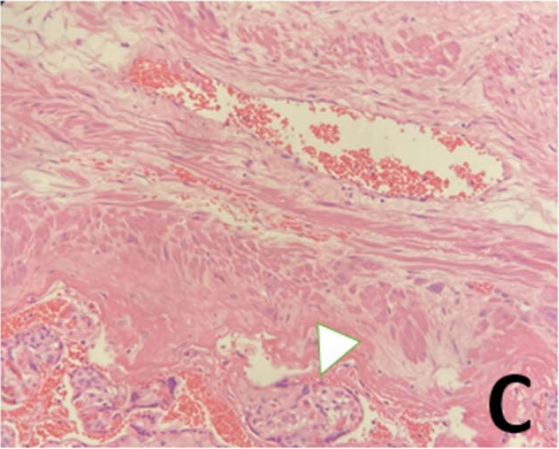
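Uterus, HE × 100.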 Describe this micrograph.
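This section shows uterine wall tissue made of pink bundles of smooth muscle and fibrous stroma, with placental villi lying within it. A large thin-walled vessel filled with red blood cells runs obliquely across the upper part of the field, surrounded by elongated spindle-shaped cells with pink cytoplasm. In the lower left, rounded villous fragments sit directly among the muscle and vessels, with no clear layer between them. These fragments are edged by cells with purple nuclei and contain red blood cells. Small clear spaces separate some of the muscle bundles.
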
